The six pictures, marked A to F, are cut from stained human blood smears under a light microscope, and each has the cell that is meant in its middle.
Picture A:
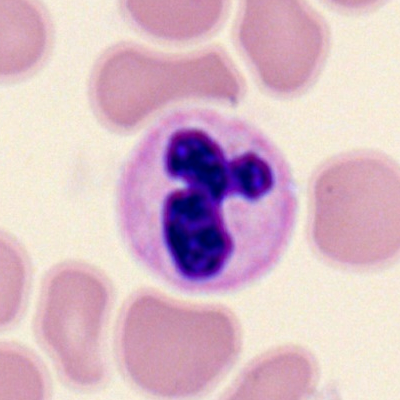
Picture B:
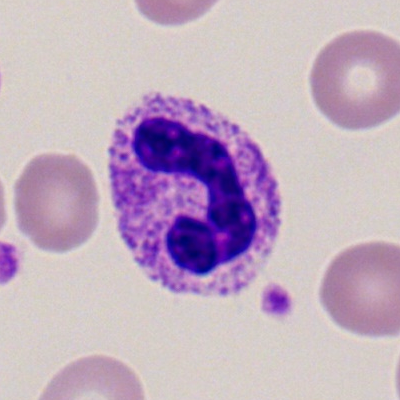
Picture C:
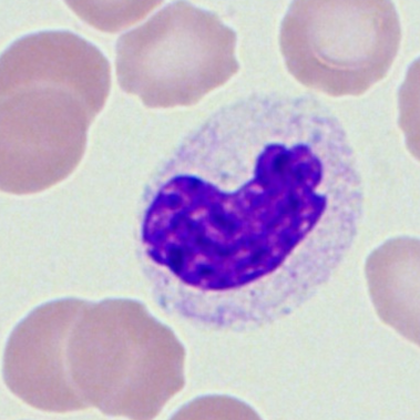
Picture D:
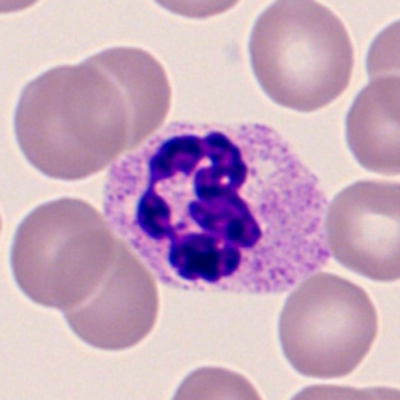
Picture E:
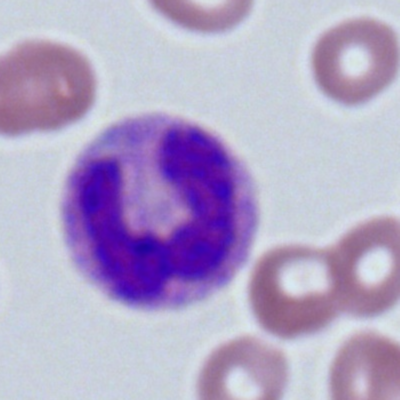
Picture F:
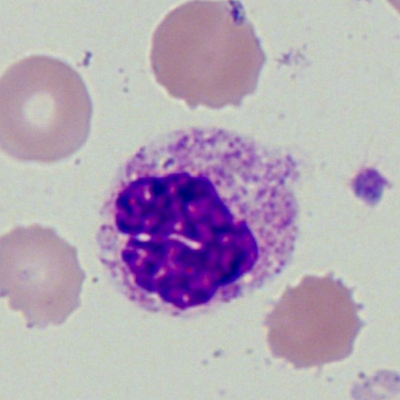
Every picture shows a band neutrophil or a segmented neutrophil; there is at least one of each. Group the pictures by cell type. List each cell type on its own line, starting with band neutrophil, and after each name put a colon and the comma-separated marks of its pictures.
band neutrophil: B, C, F
segmented neutrophil: A, D, E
